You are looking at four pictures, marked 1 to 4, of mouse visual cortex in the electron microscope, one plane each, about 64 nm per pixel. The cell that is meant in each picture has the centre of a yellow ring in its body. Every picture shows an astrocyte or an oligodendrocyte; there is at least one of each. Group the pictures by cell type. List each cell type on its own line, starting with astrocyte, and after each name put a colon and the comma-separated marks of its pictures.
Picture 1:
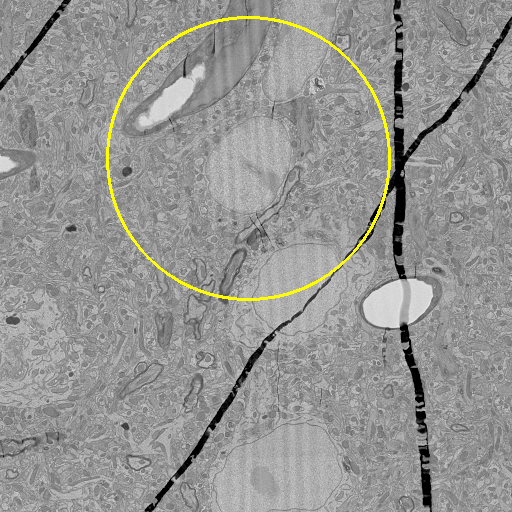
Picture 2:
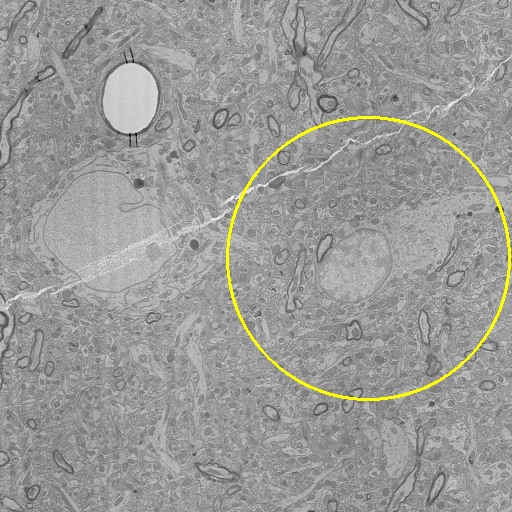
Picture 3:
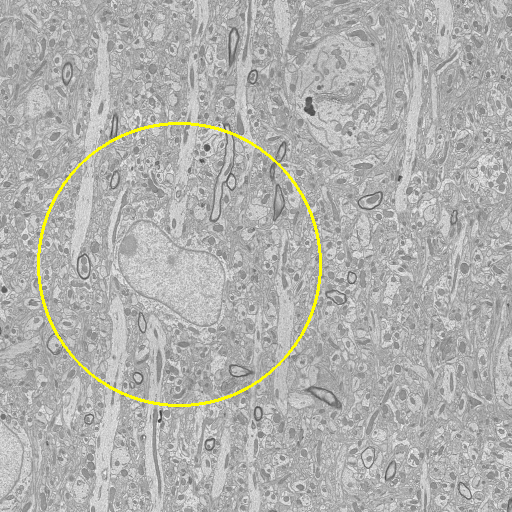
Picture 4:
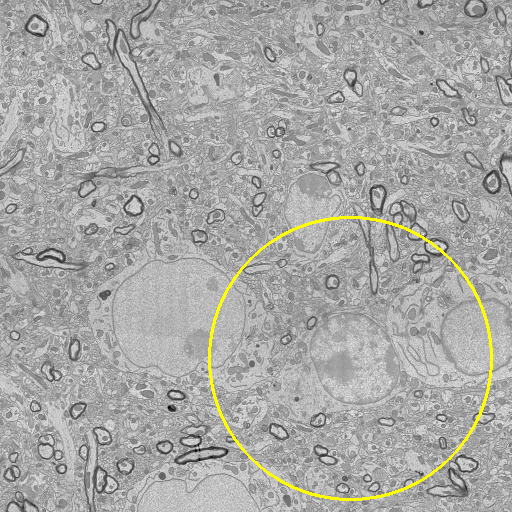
astrocyte: 1, 3
oligodendrocyte: 2, 4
